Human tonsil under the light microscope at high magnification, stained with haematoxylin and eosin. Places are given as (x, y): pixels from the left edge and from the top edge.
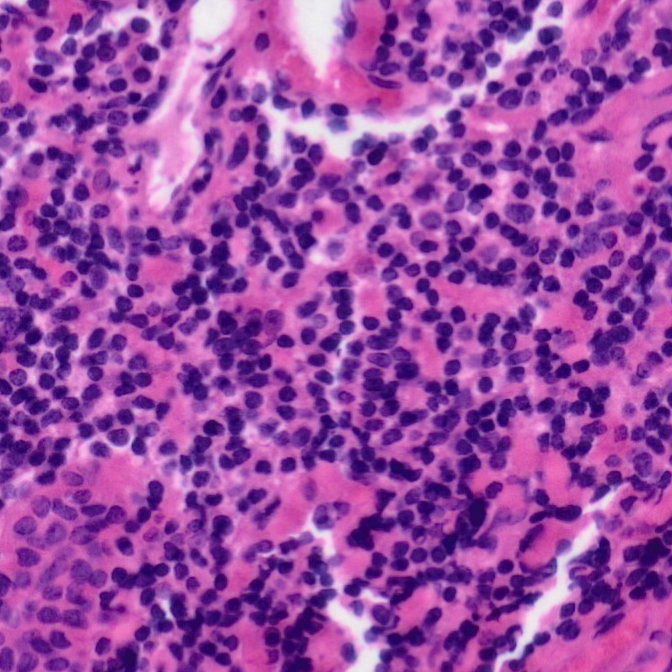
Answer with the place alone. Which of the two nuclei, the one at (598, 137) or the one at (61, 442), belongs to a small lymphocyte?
(61, 442)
